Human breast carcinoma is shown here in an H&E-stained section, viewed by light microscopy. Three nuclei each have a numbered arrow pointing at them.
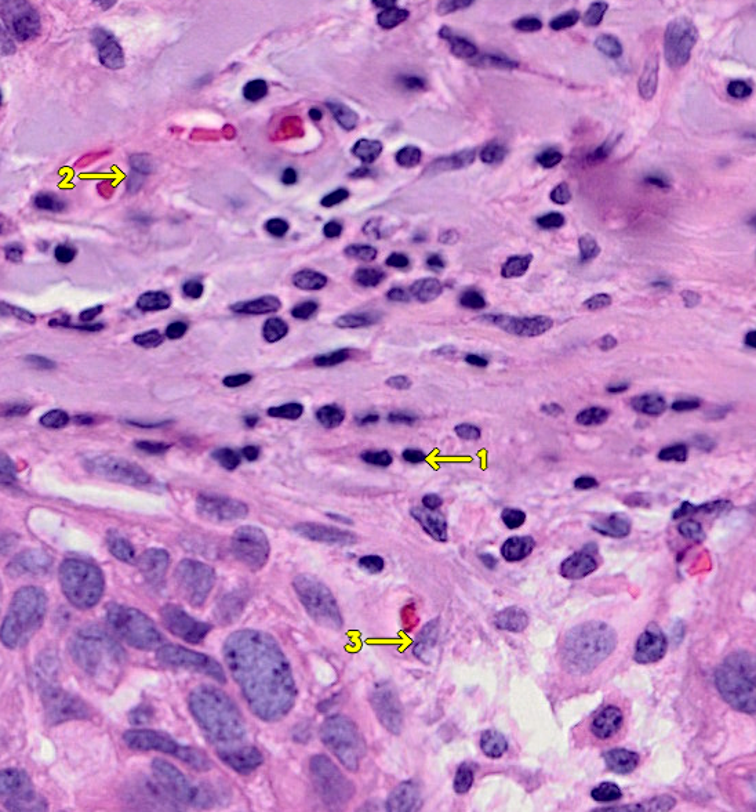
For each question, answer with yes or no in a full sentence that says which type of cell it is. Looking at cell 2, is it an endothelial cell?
Yes, the marked cell number 2 is an endothelial cell.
